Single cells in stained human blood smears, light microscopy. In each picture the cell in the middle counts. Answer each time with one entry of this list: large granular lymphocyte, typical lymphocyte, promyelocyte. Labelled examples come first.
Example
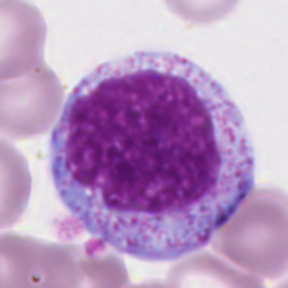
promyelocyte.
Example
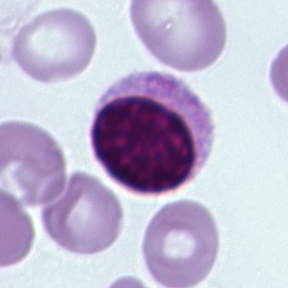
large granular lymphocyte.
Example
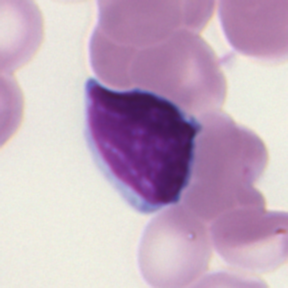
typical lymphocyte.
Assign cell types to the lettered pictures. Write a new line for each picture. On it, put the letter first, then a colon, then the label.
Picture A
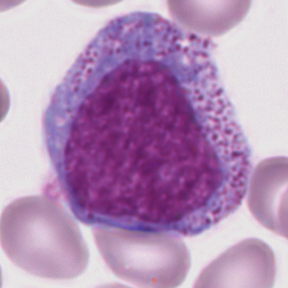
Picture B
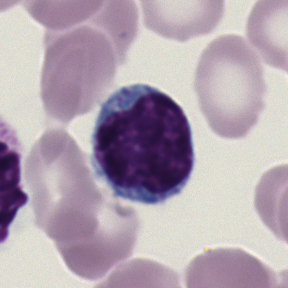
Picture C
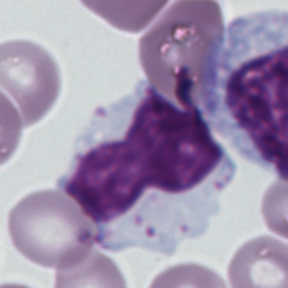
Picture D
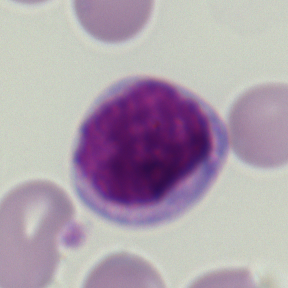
A: promyelocyte.
B: typical lymphocyte.
C: large granular lymphocyte.
D: large granular lymphocyte.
